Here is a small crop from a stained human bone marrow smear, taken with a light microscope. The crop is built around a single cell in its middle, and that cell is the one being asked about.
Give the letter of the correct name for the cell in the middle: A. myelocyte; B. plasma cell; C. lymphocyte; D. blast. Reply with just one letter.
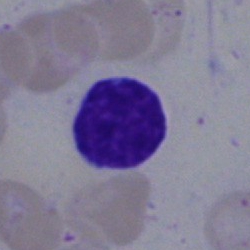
C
